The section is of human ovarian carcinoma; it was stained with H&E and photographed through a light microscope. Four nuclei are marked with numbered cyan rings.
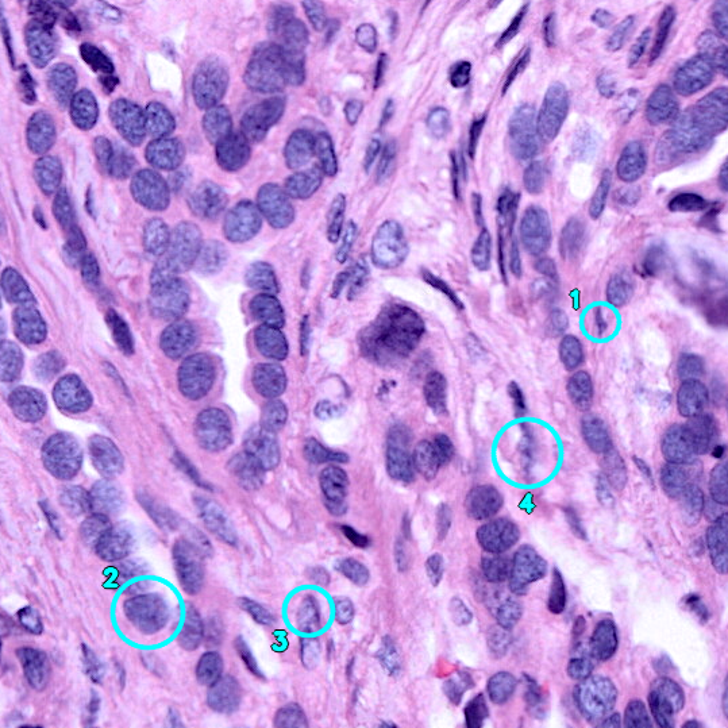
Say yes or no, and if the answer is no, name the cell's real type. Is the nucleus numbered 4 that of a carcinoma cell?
No, it is a fibroblast.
